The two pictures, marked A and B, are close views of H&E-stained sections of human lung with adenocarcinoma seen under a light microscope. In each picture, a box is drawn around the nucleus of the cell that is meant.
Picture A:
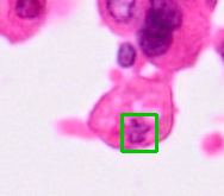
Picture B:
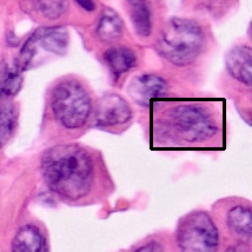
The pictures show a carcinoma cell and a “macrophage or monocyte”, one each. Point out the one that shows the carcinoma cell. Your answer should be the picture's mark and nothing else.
B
